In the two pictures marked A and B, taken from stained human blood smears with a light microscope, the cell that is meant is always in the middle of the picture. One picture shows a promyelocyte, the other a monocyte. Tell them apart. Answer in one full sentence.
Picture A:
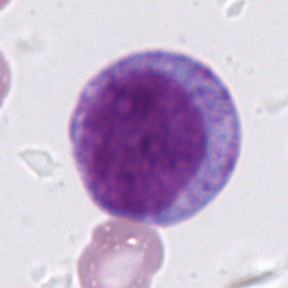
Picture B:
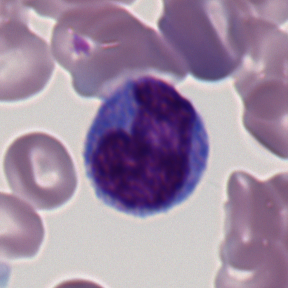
The cell in picture A is a promyelocyte, and the one in picture B is a monocyte.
